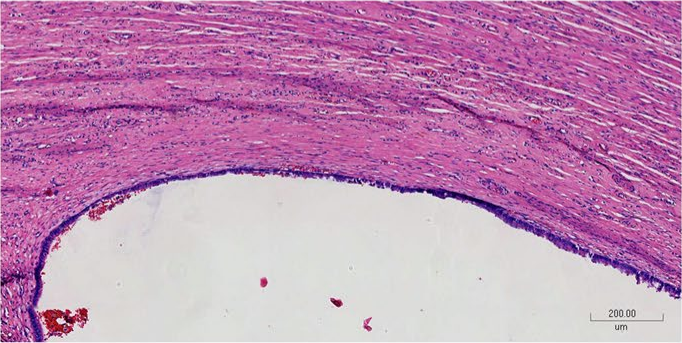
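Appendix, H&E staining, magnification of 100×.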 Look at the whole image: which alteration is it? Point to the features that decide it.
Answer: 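Beneath the lining lies a thick band of pink fibrous tissue. It contains parallel wavy bands with elongated spindle nuclei. On this evidence: fibrotic submucosa.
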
